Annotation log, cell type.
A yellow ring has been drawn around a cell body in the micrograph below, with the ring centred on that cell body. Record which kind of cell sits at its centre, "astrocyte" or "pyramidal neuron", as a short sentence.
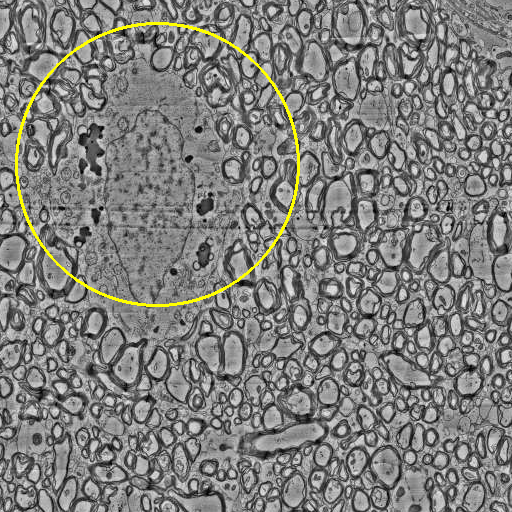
The cell at the centre of this ring is a pyramidal neuron.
